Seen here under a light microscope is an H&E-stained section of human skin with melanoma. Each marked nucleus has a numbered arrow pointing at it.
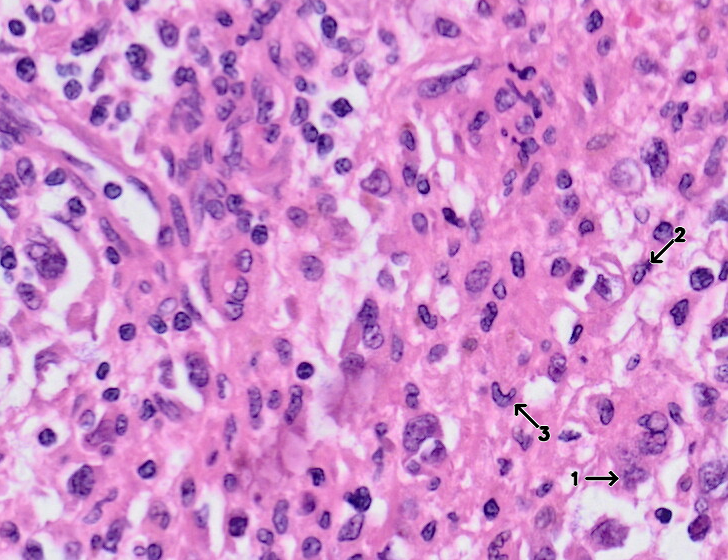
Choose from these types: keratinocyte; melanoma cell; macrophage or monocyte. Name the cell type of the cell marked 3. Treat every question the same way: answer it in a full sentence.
The cell that goes by number 3 is a macrophage or monocyte.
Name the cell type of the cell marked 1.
Here the cell numbered 1 is a melanoma cell.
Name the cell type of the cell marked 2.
Cell number 2 in this section is a macrophage or monocyte.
